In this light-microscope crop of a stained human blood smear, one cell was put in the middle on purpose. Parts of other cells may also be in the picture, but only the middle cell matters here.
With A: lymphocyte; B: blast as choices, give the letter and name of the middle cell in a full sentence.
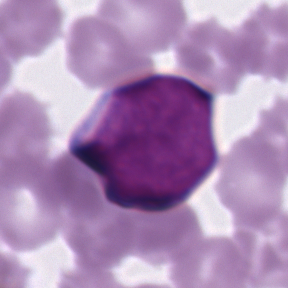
Option B is accurate; the centrally placed cell is a blast.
